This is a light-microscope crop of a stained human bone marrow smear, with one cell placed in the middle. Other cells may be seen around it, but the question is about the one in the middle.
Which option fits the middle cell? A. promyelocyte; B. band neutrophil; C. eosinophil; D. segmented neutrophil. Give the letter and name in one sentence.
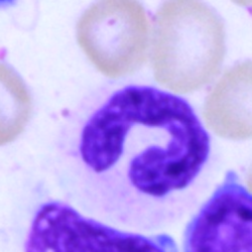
The cell in the centre of the crop is a band neutrophil, so option B is the correct one.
